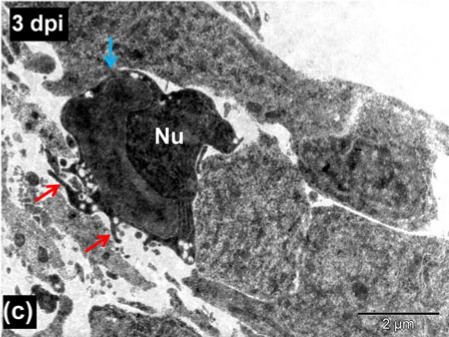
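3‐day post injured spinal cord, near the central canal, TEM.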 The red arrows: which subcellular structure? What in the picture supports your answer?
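Finger‐like cytoplasmic projections. Thin, short processes extend from the dark cell's surface. The processes project into a pale surrounding space.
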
